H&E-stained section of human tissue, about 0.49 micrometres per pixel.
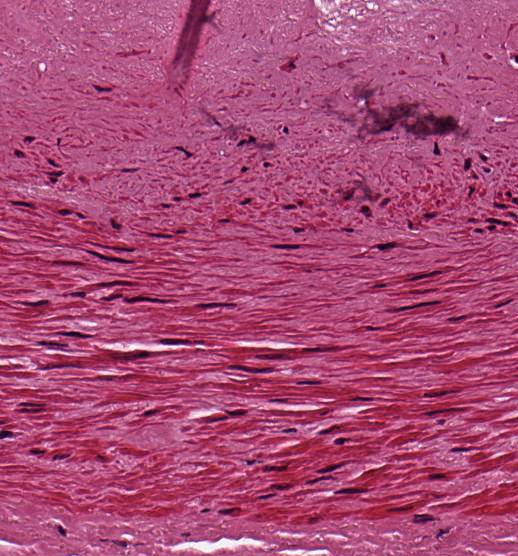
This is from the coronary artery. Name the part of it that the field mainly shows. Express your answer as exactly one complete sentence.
What is shown in this section is tunica media.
